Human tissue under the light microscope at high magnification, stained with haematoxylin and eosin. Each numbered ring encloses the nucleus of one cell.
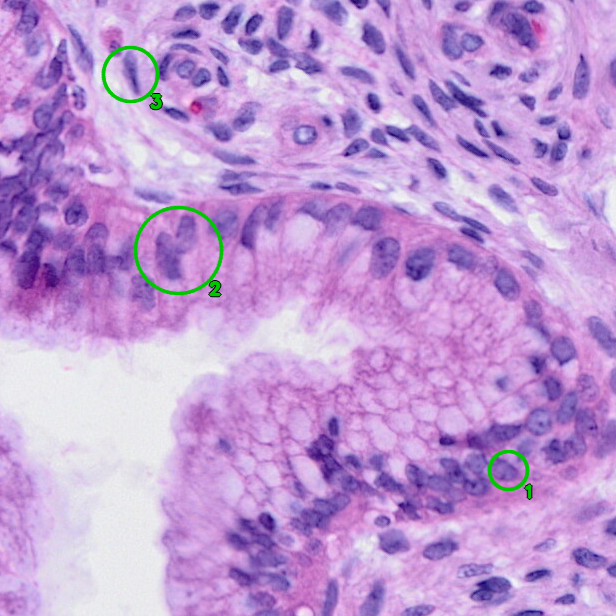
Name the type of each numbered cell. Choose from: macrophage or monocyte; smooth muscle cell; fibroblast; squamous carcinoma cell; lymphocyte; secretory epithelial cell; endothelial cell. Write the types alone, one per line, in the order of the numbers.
secretory epithelial cell
secretory epithelial cell
fibroblast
